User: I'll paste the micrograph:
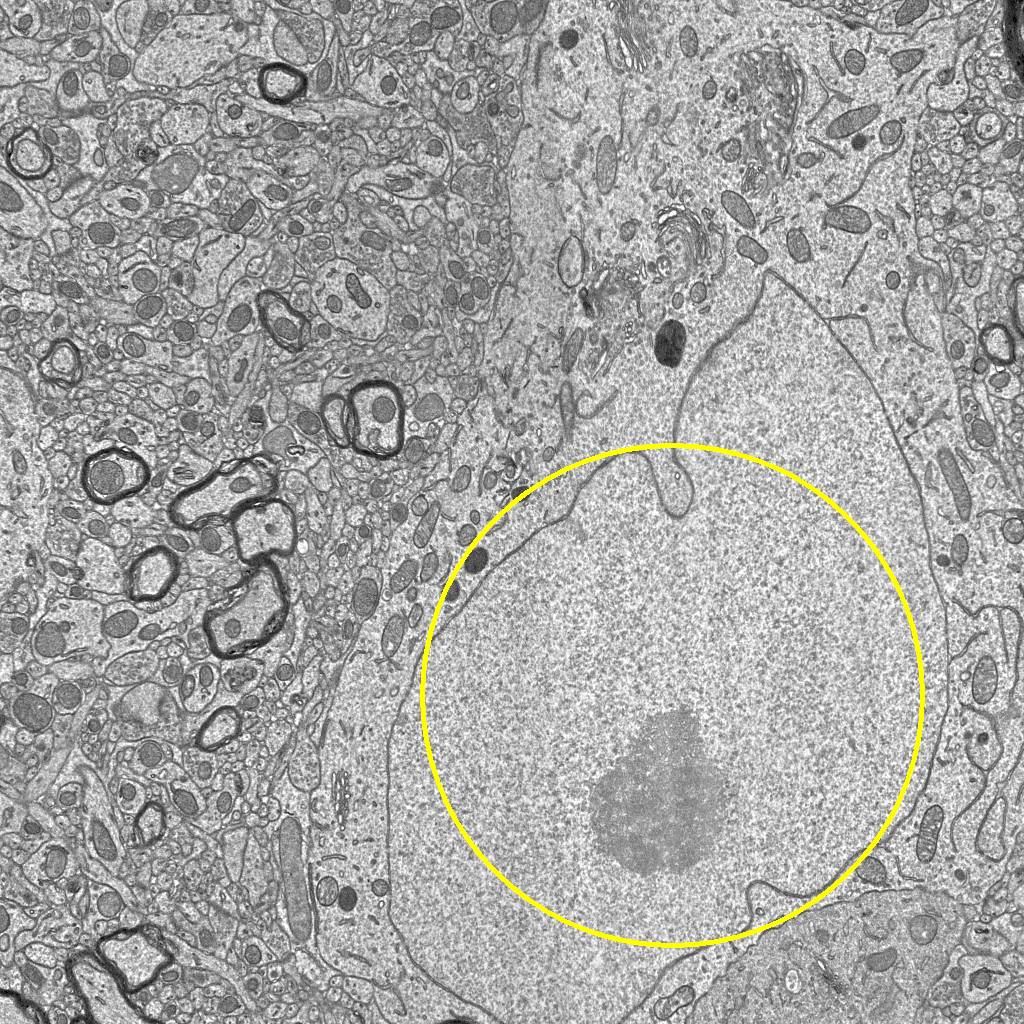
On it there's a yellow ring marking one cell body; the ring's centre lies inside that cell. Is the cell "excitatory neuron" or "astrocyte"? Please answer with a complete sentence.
The cell at the centre of the yellow ring is an excitatory neuron.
